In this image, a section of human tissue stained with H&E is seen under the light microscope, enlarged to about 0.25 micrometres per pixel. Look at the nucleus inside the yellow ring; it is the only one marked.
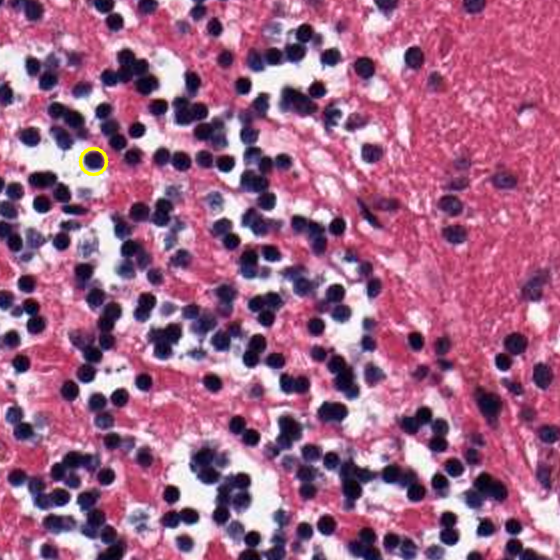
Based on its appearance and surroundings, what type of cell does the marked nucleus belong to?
cerebellar granule cell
